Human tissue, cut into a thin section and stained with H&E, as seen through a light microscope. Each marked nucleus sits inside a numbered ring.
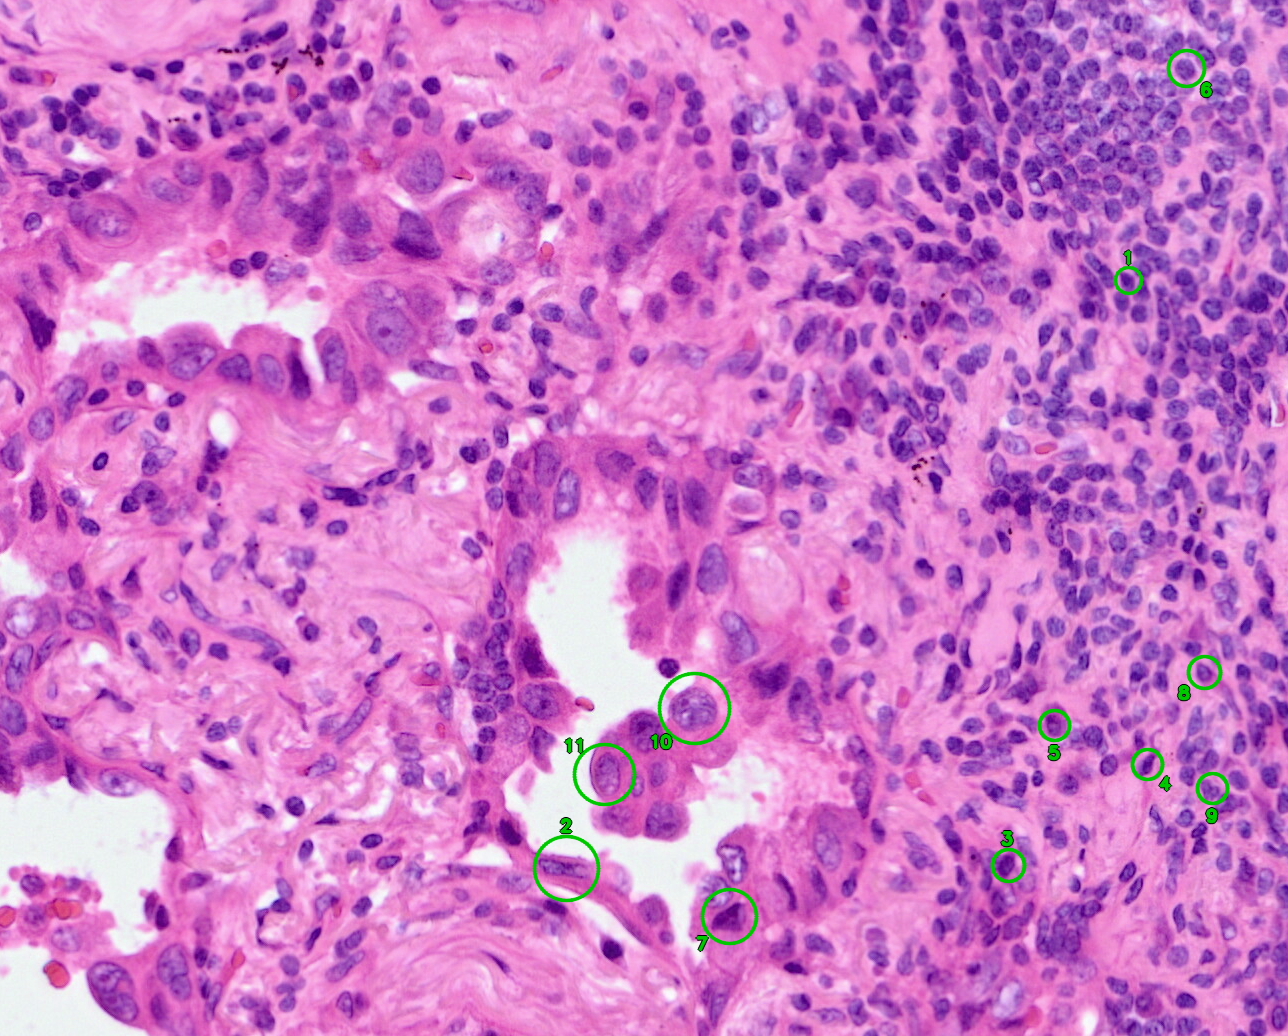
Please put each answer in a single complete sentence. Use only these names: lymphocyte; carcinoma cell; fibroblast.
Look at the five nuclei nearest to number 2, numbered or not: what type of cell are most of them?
Around number 2, most of the five nearest nuclei are those of fibroblasts.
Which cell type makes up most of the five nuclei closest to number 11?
Around number 11, most of the five nearest nuclei are those of carcinoma cells.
